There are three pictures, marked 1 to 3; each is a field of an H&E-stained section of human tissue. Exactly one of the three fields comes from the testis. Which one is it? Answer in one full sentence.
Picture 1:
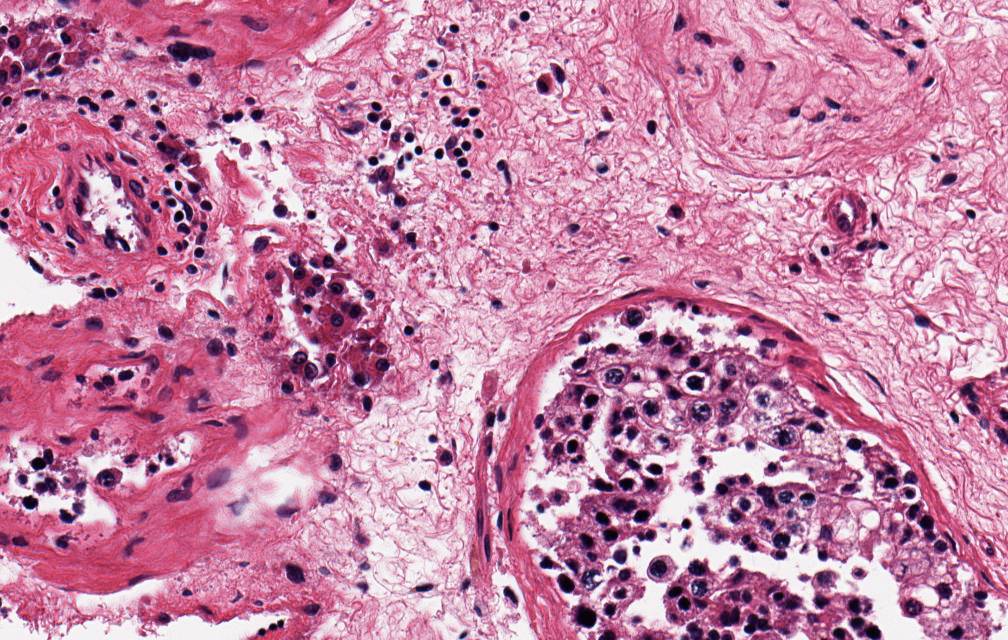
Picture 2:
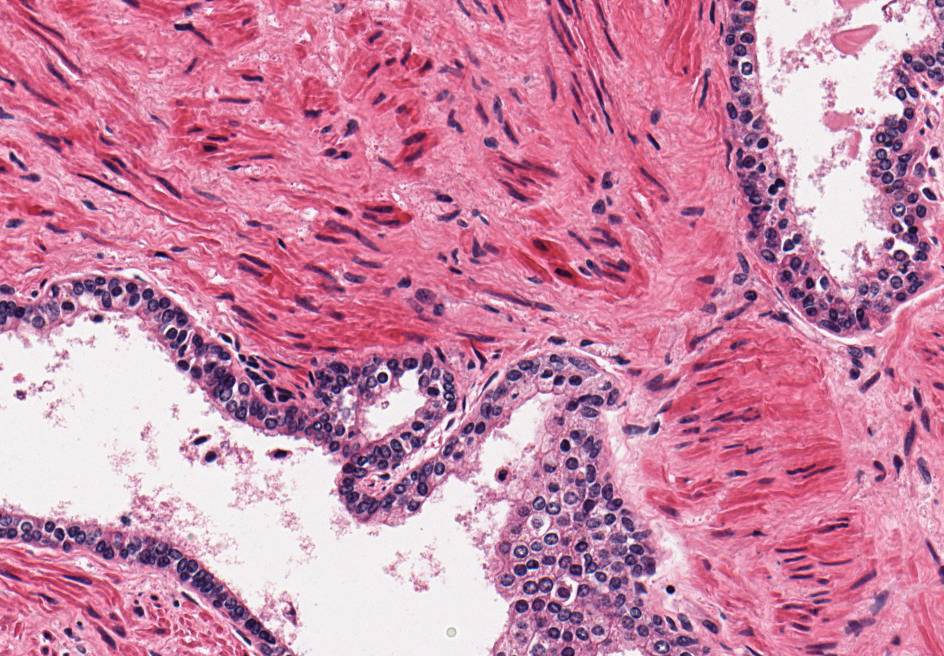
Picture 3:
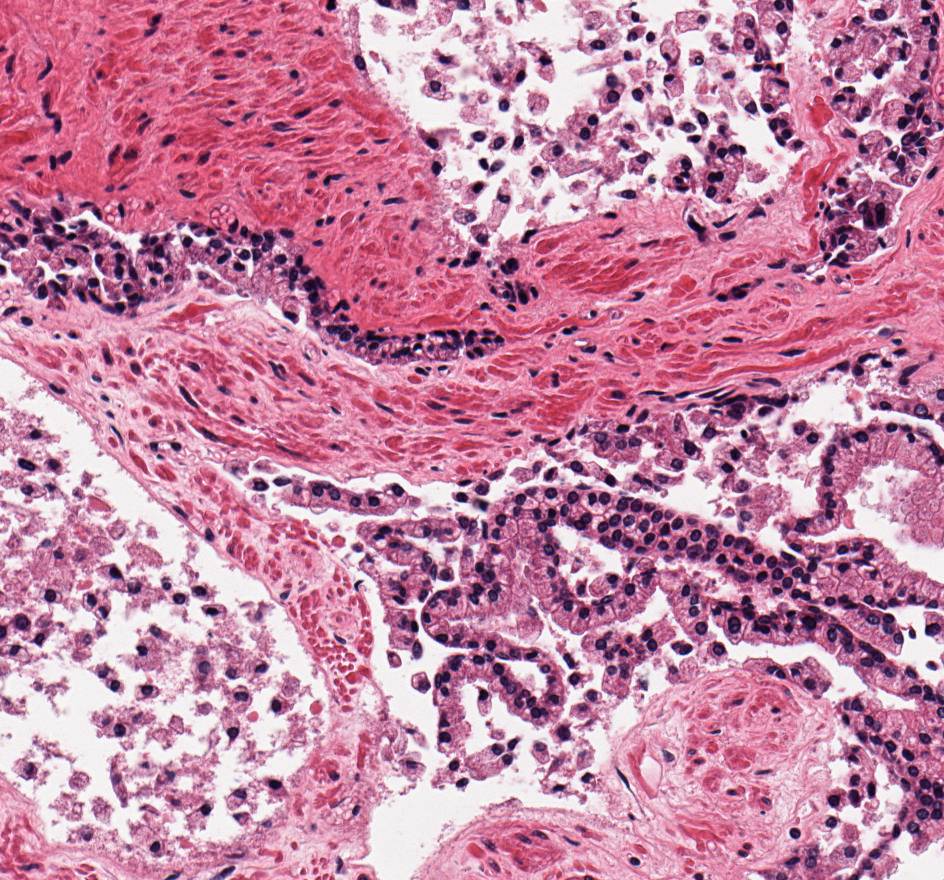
Picture 1 comes from the testis.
